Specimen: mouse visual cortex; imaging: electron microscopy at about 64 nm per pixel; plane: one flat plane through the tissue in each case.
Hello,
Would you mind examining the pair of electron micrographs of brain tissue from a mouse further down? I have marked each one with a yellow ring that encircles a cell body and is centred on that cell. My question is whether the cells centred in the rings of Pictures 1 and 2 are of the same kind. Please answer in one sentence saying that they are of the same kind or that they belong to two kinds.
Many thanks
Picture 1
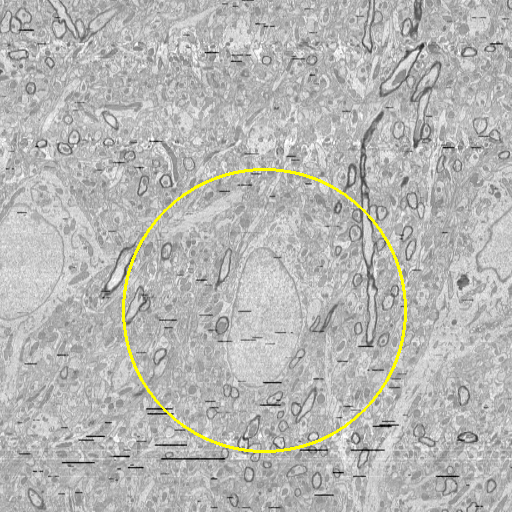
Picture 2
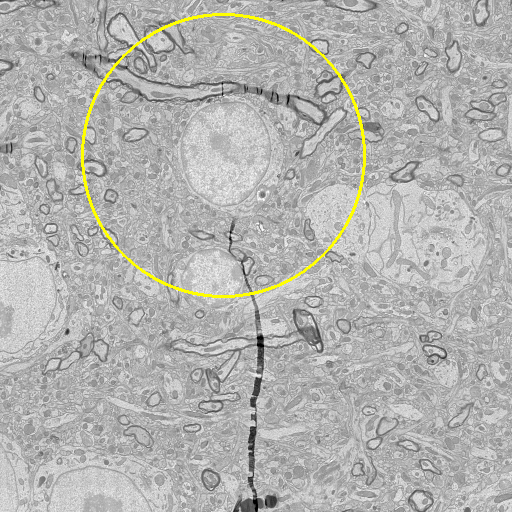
In Pictures 1 and 2, the cells at the heart of the rings belong to two kinds.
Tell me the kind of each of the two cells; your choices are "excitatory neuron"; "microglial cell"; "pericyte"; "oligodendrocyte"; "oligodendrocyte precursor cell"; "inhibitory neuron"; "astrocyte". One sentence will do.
The ringed cell is an astrocyte in the first picture and an oligodendrocyte in the second picture.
